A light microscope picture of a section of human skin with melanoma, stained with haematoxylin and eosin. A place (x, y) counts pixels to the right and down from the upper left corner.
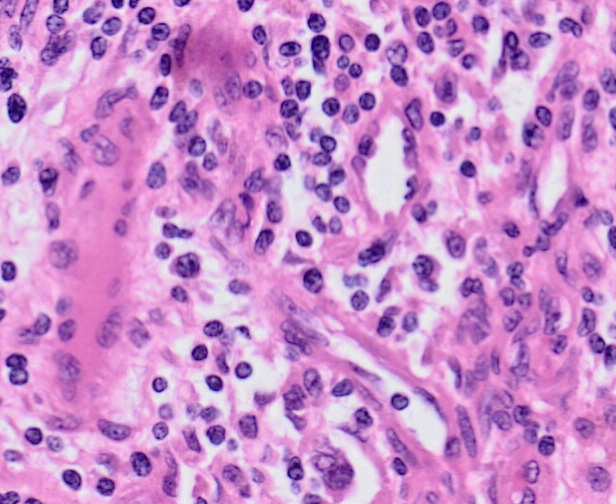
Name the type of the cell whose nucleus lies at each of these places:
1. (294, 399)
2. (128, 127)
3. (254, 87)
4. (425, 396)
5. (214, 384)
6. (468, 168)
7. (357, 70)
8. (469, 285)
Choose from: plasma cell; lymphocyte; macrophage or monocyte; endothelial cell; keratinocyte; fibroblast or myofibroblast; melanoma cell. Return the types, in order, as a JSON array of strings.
["melanoma cell", "endothelial cell", "lymphocyte", "endothelial cell", "lymphocyte", "lymphocyte", "lymphocyte", "macrophage or monocyte"]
